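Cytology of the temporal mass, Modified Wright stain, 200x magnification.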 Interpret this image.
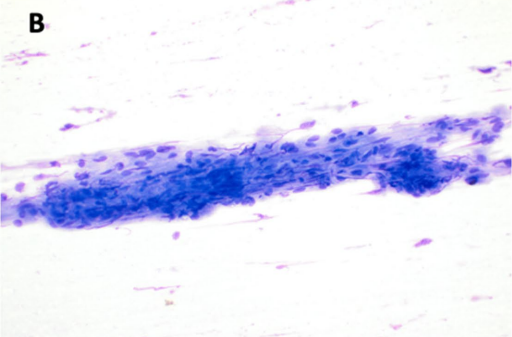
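The cells are spindle-shaped with oval, fairly uniform blue nuclei, showing little variation in cell or nuclear size. The cluster streams along one direction, and a few isolated spindle cells lie at its edges on a clear background. The picture fits a meningioma.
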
